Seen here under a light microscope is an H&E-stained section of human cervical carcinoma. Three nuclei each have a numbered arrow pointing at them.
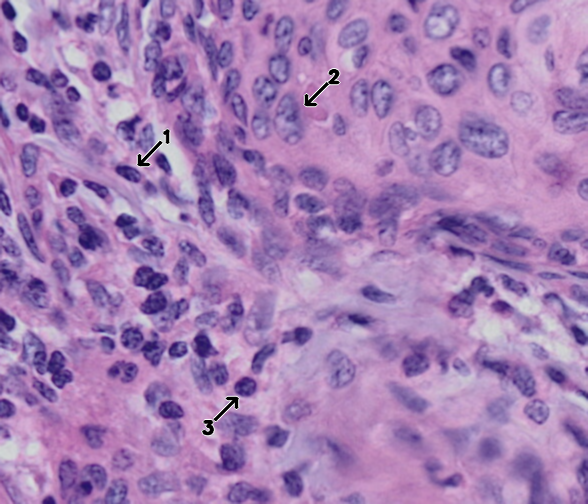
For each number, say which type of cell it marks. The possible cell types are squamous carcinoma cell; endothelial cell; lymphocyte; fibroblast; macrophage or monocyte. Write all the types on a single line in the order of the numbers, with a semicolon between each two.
lymphocyte; squamous carcinoma cell; lymphocyte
